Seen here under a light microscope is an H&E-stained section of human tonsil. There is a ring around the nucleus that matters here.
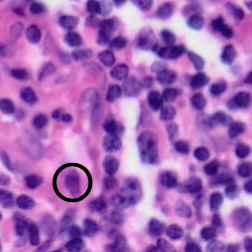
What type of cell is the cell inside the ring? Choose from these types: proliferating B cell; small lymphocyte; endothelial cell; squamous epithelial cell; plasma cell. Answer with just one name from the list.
endothelial cell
